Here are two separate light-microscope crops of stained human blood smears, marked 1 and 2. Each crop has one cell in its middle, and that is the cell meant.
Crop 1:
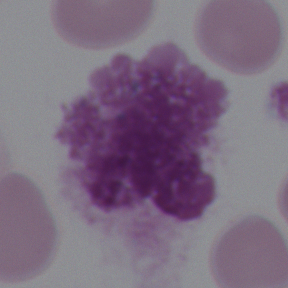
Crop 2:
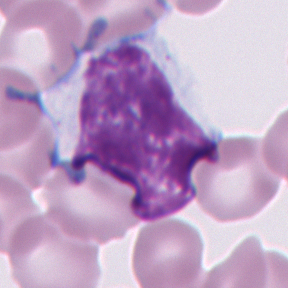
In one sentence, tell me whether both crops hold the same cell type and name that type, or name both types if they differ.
No, crop 1 captures a smudge cell; meanwhile crop 2 captures a typical lymphocyte.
